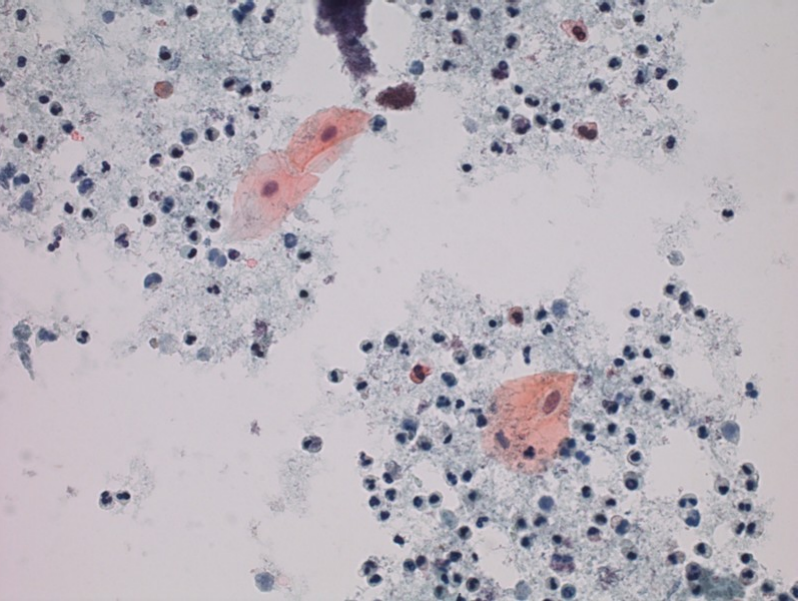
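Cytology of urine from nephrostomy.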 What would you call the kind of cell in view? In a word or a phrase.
Benign squamous cells.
